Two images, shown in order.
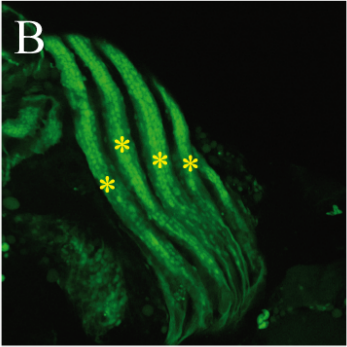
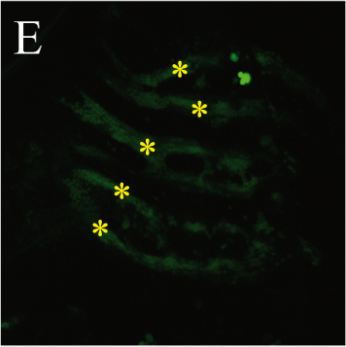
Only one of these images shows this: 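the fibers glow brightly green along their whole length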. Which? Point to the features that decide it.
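Second image: only faint, patchy green streaks are seen. First image: bright, continuous green bands fill the fibers. On this evidence: the first image.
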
